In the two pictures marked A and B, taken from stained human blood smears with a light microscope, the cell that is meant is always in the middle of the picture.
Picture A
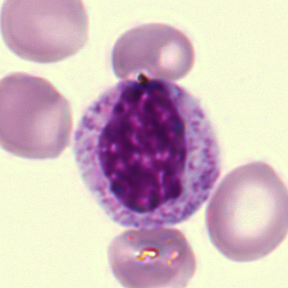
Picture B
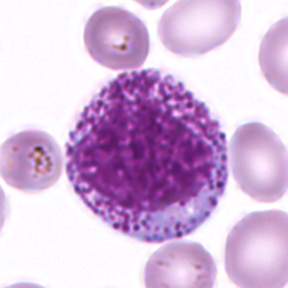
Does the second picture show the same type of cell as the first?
no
